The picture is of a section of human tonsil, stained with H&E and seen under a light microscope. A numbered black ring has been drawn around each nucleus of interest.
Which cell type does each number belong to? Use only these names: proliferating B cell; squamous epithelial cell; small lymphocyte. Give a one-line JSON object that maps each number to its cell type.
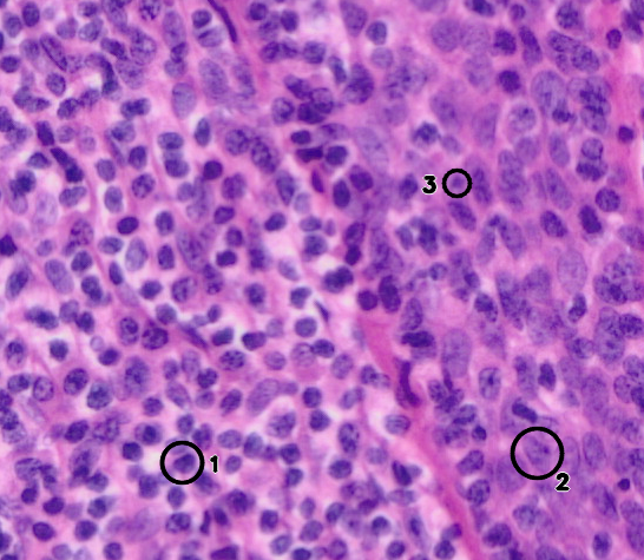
{"1": "small lymphocyte", "2": "squamous epithelial cell", "3": "squamous epithelial cell"}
